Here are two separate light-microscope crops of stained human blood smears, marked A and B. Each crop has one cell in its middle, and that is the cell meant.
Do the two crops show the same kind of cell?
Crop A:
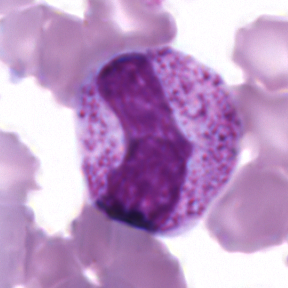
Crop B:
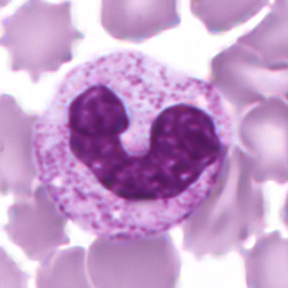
yes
